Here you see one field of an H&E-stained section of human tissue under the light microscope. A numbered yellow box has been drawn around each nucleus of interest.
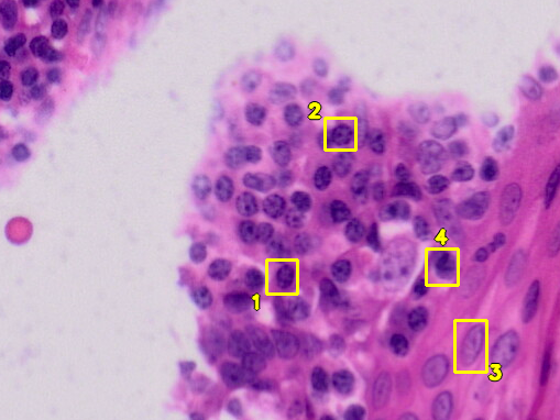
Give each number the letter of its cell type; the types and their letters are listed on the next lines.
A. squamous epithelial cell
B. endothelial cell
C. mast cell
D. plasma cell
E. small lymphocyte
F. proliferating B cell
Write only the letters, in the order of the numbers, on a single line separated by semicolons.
D; D; A; A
